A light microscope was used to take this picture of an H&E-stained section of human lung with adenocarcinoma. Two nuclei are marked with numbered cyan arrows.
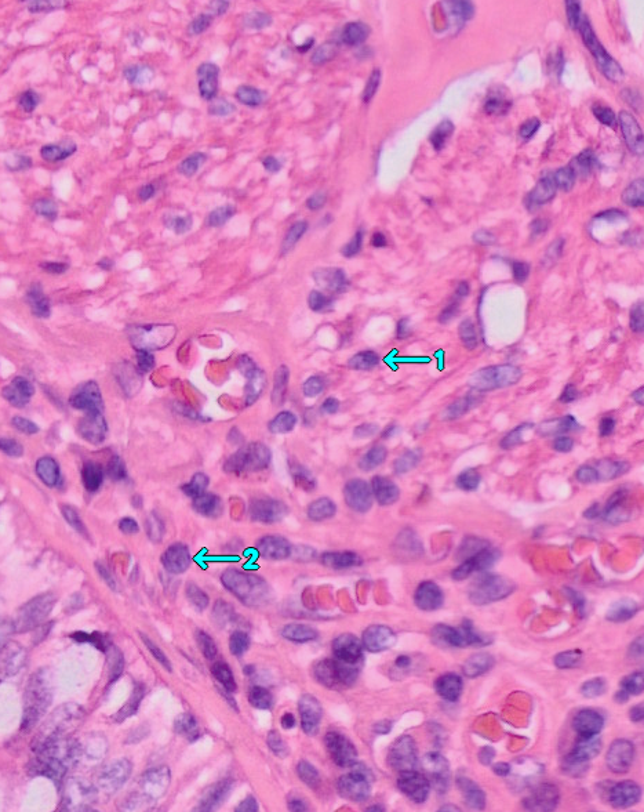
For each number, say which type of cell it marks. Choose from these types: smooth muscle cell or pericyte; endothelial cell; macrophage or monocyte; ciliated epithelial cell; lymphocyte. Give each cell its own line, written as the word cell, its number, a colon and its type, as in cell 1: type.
cell 1: smooth muscle cell or pericyte
cell 2: lymphocyte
